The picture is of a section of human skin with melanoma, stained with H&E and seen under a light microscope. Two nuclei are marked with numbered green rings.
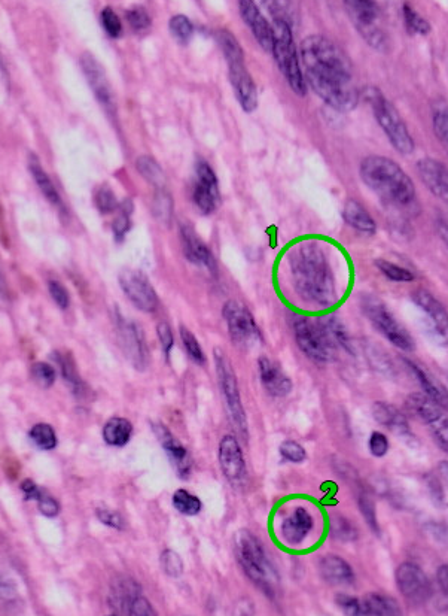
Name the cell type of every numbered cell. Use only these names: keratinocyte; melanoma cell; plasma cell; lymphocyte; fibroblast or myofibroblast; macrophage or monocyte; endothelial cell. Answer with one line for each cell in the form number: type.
1: melanoma cell
2: lymphocyte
